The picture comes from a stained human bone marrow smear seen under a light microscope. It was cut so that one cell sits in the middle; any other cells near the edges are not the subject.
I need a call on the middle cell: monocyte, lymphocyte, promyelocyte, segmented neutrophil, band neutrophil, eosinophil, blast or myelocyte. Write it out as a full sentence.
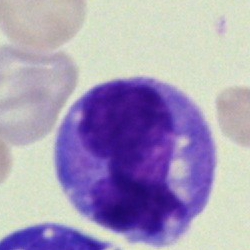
At the crop's centre, the cell is a monocyte.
